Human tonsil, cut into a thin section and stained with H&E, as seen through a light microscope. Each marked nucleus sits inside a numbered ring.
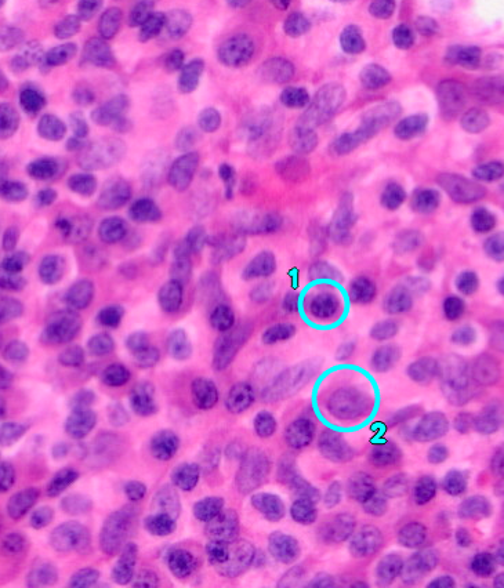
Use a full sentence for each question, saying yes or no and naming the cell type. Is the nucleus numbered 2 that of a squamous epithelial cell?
Yes, cell number 2 in this section is a squamous epithelial cell.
